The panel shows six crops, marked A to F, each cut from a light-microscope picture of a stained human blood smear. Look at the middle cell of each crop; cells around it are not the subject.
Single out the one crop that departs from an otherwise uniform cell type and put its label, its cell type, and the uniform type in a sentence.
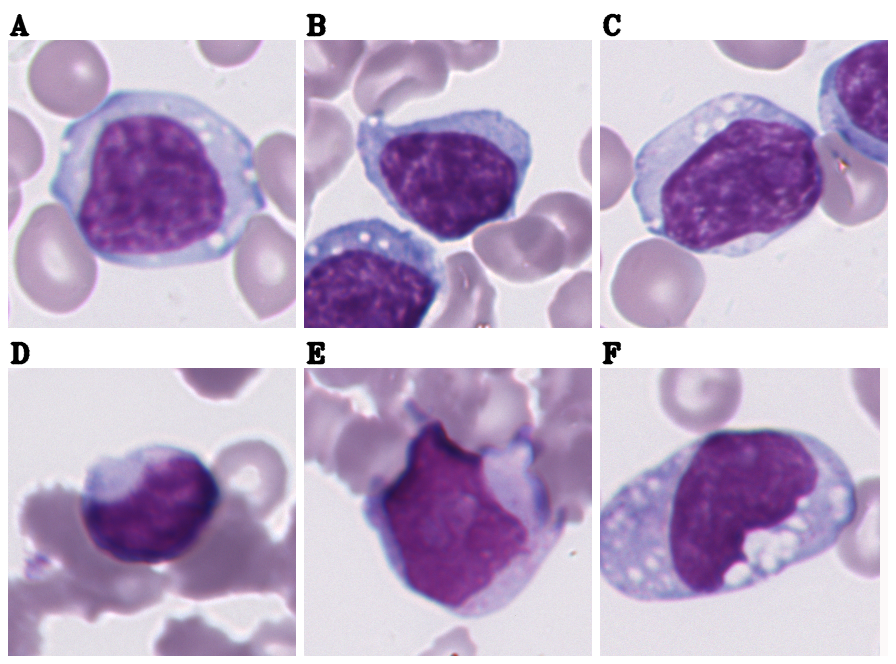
Identified in crop F is a monocyte, whereas the other crops all show myeloblasts.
